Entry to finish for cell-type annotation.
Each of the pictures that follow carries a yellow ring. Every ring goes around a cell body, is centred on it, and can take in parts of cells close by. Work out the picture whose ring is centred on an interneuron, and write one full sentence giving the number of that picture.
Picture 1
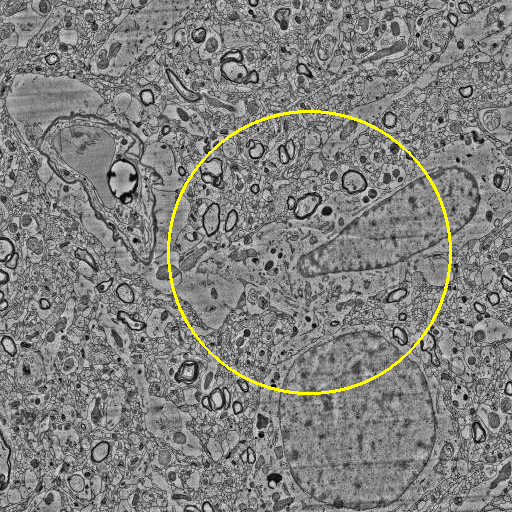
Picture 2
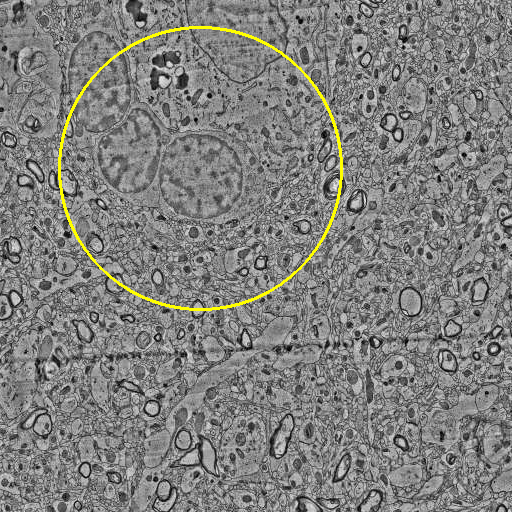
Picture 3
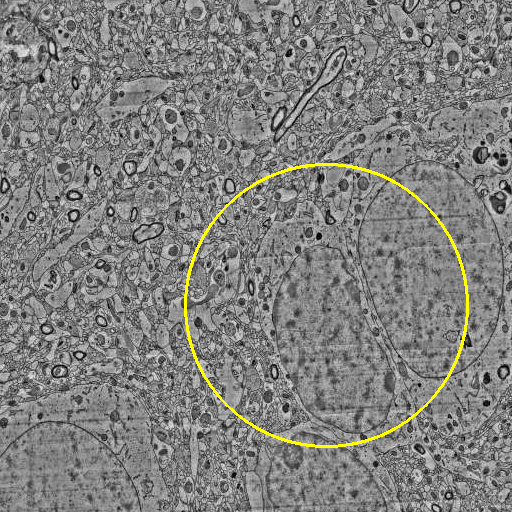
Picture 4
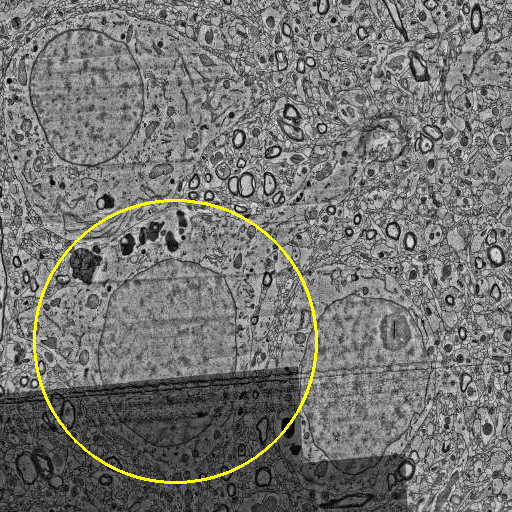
The cell at the heart of the ring in picture 3 matches the request.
